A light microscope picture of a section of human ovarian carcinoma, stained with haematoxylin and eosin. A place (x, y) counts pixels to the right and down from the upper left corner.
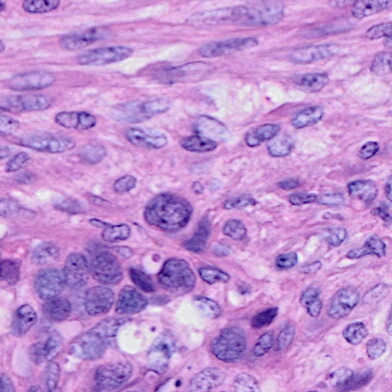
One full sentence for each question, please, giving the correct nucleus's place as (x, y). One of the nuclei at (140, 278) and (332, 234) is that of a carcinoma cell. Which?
In this pair, the nucleus at (140, 278) belongs to a carcinoma cell.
